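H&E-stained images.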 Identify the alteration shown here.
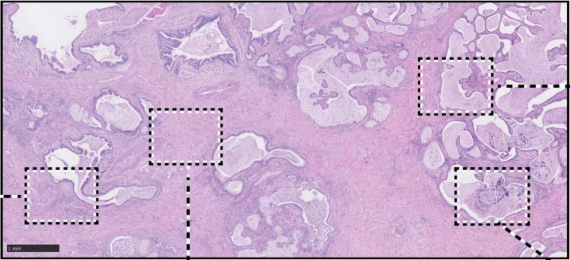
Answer: Honeycomb formation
